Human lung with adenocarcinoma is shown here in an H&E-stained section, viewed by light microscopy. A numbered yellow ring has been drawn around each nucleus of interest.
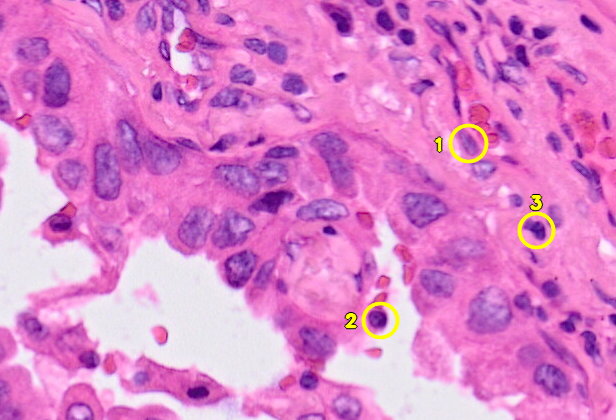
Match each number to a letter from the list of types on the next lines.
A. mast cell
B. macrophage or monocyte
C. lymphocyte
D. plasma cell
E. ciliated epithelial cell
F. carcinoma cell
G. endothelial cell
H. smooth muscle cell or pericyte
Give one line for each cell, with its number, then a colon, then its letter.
1: G
2: C
3: C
